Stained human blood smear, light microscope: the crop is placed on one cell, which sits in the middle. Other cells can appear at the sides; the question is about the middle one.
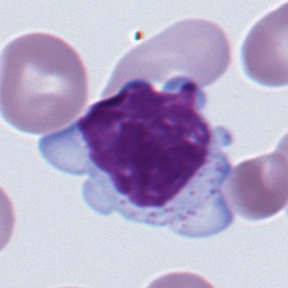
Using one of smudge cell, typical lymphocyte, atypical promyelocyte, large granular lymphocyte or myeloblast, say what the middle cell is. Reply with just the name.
large granular lymphocyte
